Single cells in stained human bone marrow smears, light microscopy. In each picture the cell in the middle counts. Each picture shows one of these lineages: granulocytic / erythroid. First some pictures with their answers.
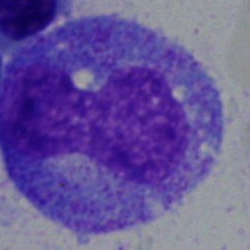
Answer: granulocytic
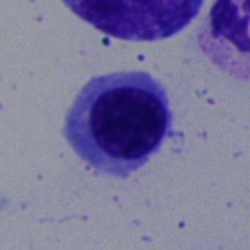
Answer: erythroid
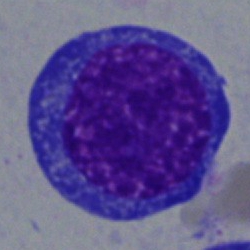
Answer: erythroid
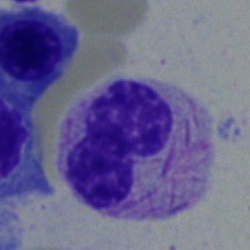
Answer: granulocytic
